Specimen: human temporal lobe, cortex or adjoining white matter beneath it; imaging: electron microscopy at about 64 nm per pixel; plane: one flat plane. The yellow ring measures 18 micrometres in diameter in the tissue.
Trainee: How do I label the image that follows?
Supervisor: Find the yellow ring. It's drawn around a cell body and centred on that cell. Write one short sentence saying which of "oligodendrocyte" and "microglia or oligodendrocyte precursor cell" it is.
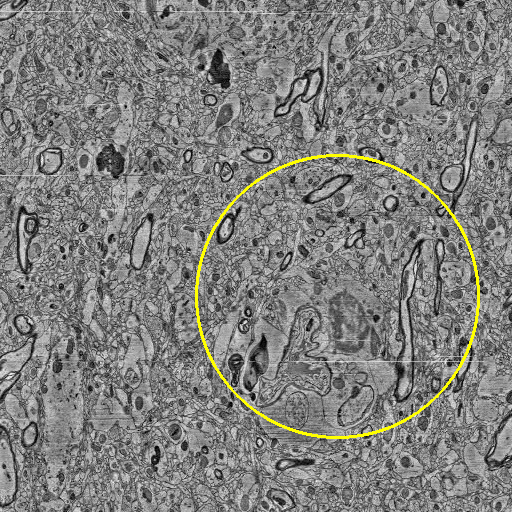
This is the cell body of an oligodendrocyte.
